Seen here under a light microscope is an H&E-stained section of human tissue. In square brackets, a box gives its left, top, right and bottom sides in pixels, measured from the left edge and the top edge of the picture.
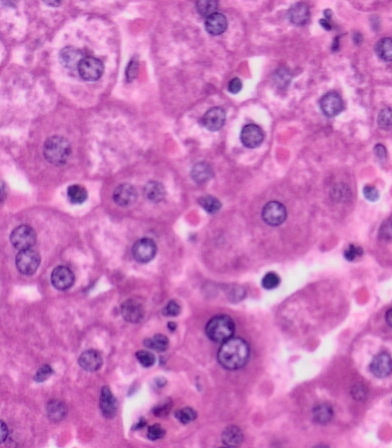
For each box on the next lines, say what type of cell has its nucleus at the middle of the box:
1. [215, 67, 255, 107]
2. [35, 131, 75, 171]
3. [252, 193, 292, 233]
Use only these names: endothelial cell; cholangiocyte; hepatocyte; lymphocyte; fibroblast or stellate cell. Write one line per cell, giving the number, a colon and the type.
1: lymphocyte
2: hepatocyte
3: hepatocyte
